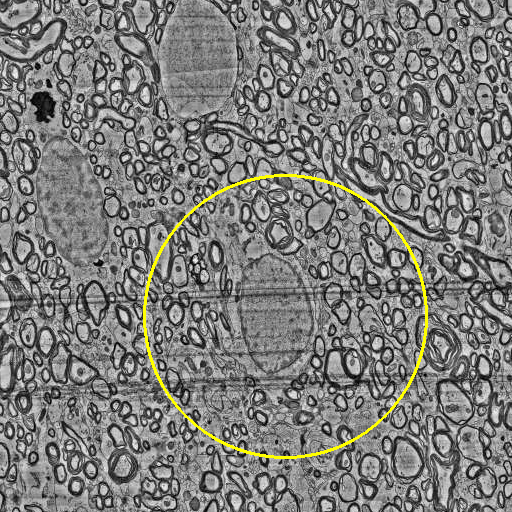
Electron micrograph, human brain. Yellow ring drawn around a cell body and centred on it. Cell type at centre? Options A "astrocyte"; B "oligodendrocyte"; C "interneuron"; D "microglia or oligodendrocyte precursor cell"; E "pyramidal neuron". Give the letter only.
A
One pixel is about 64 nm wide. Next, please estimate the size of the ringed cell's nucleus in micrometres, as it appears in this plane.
In this plane the nucleus is clearly longer than it is wide, at approximately 8 by 5 micrometres.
